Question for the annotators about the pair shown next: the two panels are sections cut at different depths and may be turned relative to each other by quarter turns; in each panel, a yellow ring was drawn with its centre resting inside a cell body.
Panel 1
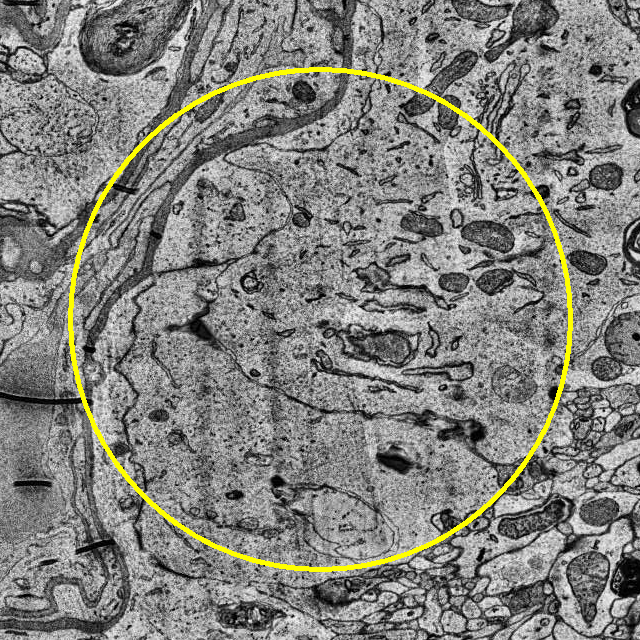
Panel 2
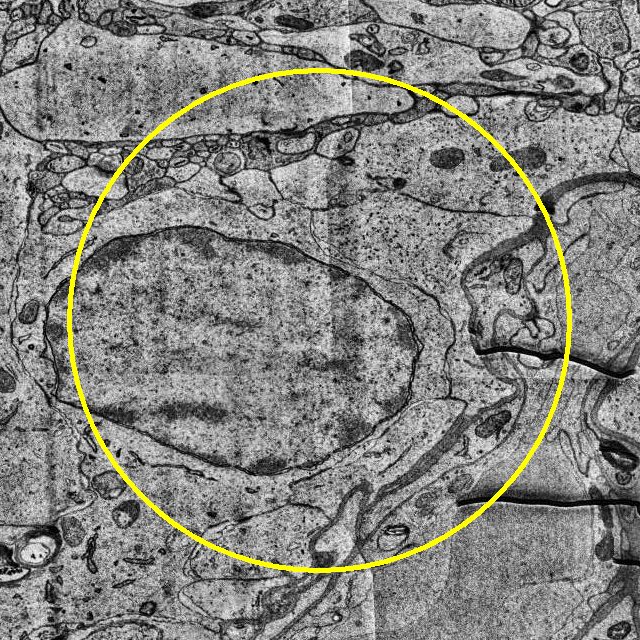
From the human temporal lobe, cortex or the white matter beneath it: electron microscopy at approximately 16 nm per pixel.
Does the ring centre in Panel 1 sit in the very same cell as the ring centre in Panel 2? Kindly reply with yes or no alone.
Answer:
yes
